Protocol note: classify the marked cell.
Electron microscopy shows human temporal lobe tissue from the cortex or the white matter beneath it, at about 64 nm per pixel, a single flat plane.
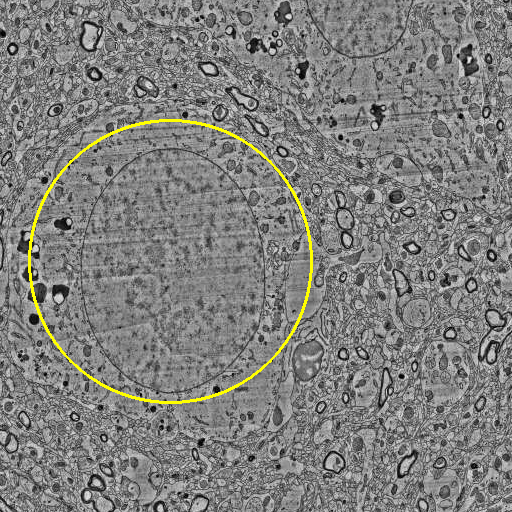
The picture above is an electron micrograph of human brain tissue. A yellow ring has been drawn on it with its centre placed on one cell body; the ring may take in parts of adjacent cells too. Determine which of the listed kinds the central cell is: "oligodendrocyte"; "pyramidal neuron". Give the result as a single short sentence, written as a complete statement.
The central cell is a pyramidal neuron.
